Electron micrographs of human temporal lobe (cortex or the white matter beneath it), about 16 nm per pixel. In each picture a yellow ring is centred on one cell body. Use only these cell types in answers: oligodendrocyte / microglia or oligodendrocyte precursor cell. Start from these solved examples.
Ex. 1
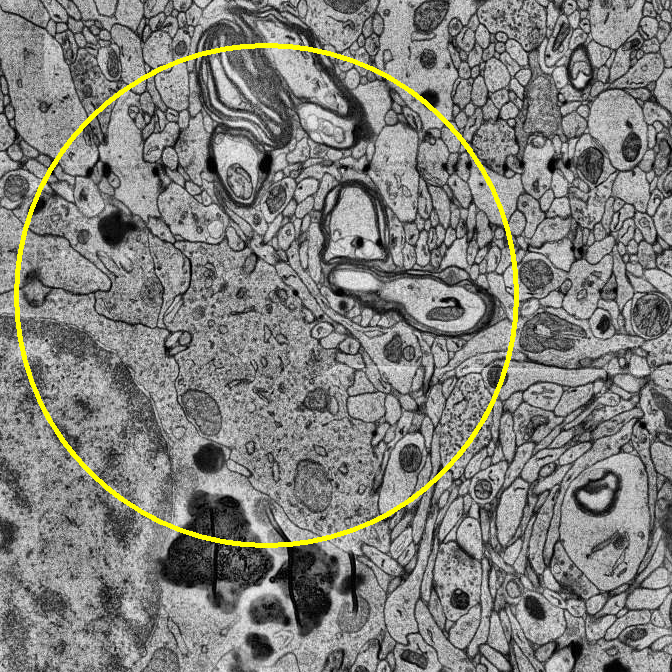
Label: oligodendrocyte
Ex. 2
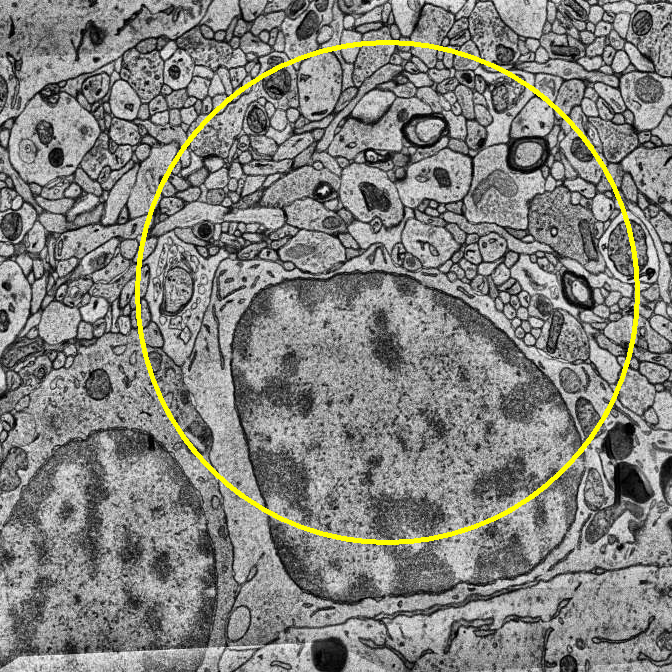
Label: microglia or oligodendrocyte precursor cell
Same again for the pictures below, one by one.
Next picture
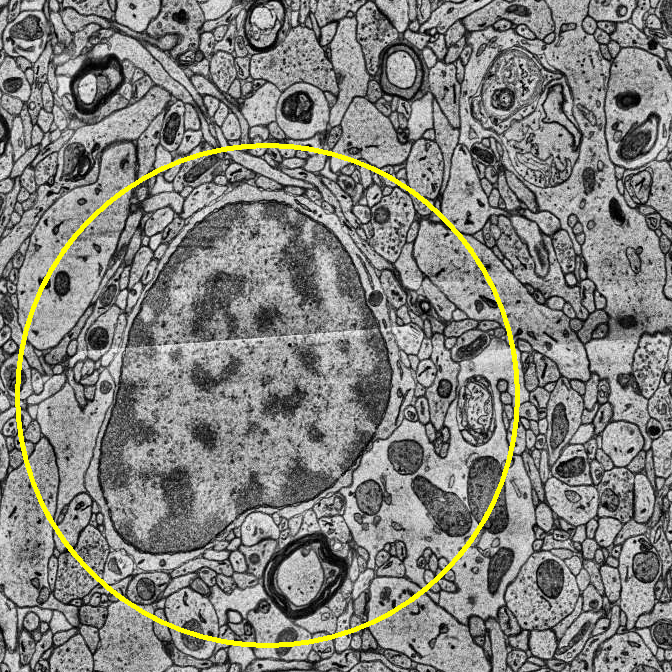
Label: microglia or oligodendrocyte precursor cell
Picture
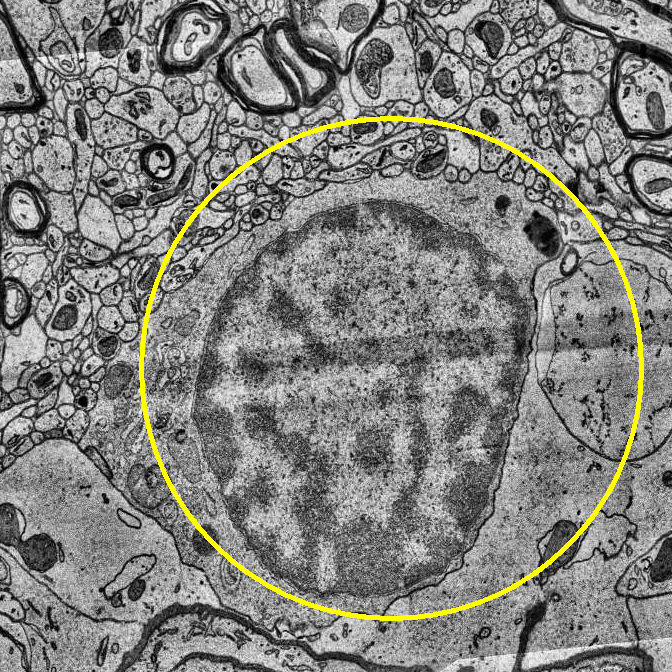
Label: oligodendrocyte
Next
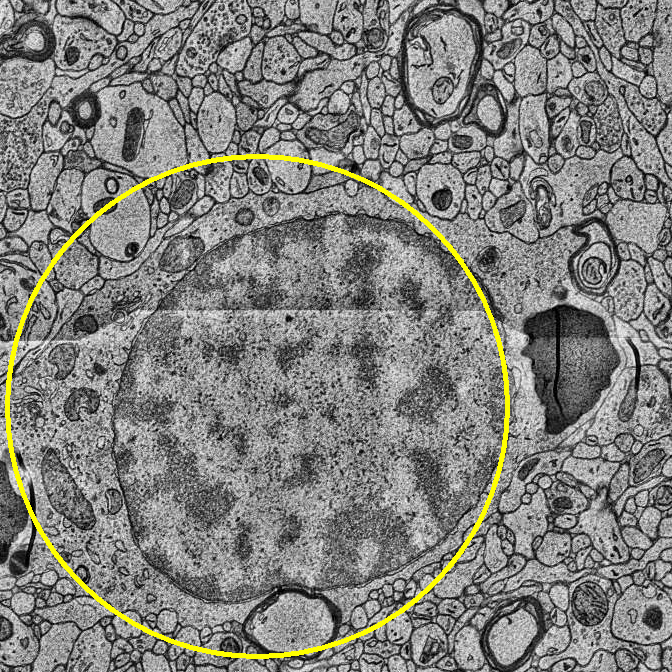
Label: oligodendrocyte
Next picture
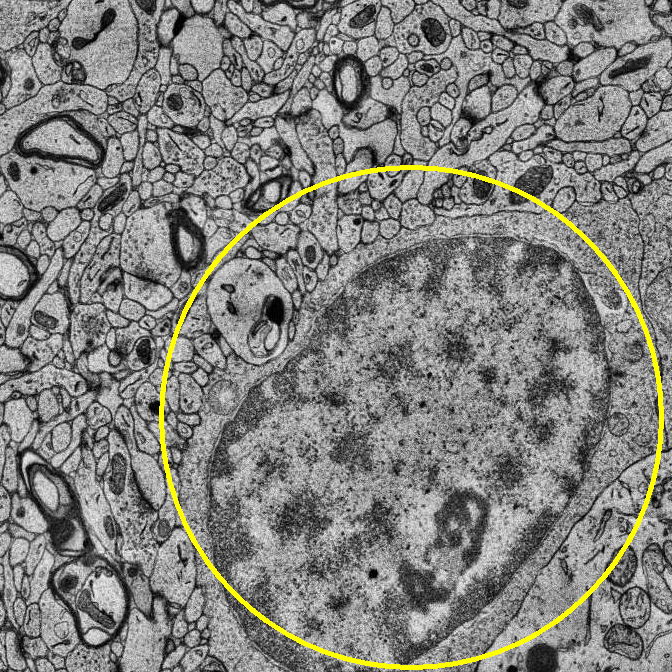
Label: oligodendrocyte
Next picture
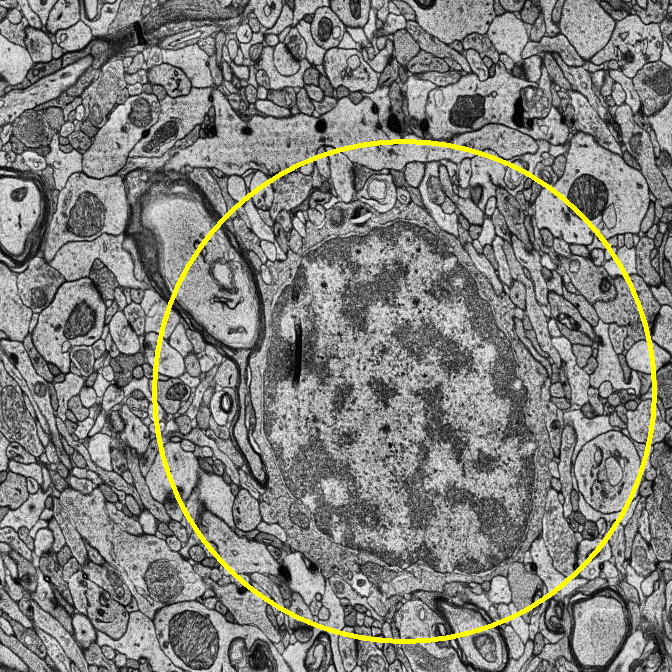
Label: oligodendrocyte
